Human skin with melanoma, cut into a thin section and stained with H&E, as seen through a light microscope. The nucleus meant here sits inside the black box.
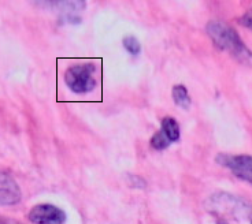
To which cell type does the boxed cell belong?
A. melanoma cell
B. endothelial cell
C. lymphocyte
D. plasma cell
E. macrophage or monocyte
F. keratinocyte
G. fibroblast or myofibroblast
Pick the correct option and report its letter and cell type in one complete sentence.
The correct identification, the boxed cell as a lymphocyte, is given by option C.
